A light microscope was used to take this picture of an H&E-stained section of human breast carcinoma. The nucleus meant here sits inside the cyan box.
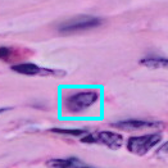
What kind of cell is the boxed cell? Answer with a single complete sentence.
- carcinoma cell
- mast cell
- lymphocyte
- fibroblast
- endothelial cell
The classification of the boxed cell is as a mast cell.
